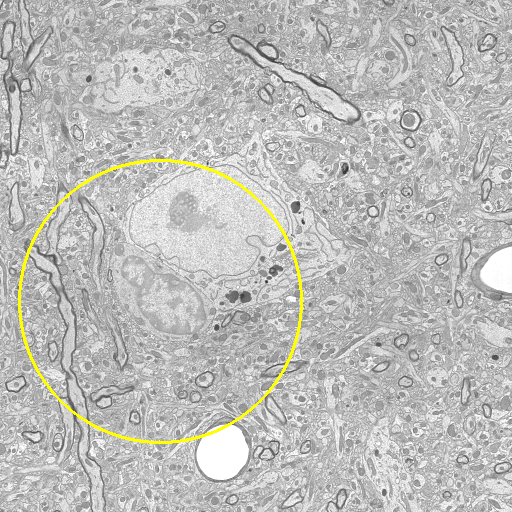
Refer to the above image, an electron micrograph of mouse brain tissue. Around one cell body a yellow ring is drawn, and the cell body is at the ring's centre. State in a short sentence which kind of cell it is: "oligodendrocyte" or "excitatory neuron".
The centre of the ring falls on an oligodendrocyte.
